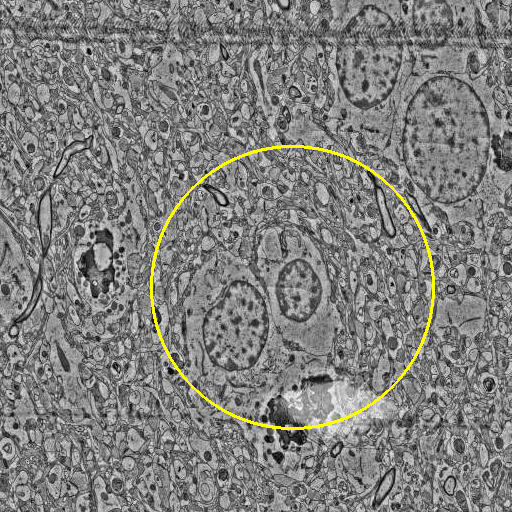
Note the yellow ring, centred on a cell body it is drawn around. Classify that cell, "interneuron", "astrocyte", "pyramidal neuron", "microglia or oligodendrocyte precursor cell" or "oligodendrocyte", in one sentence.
The cell the ring is centred on is an astrocyte.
